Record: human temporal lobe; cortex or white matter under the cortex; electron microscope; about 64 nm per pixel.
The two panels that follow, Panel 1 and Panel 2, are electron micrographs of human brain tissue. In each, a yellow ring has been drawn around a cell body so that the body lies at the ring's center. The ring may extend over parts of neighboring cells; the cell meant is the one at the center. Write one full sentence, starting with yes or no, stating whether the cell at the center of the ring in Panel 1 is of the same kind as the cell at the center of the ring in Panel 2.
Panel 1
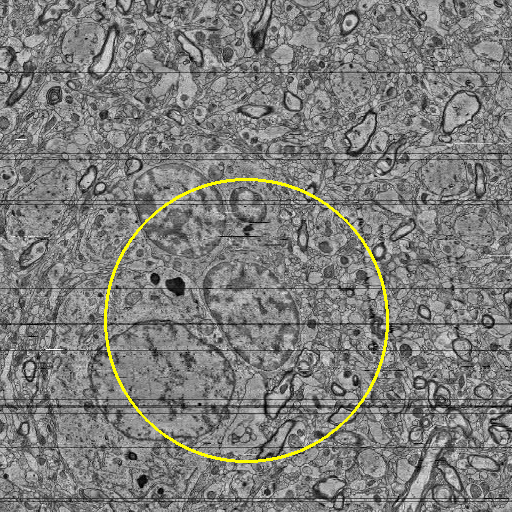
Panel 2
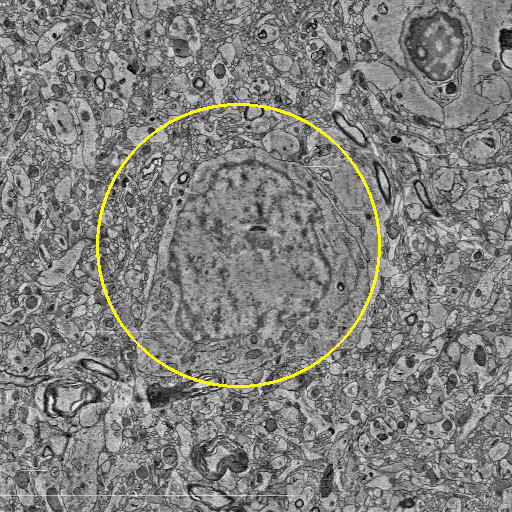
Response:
No, the cells in the two panels are of two kinds.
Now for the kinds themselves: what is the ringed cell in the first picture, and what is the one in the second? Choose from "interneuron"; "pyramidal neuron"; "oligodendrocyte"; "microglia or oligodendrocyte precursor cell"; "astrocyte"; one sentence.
Here the first cell is an oligodendrocyte and the second cell is an interneuron.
